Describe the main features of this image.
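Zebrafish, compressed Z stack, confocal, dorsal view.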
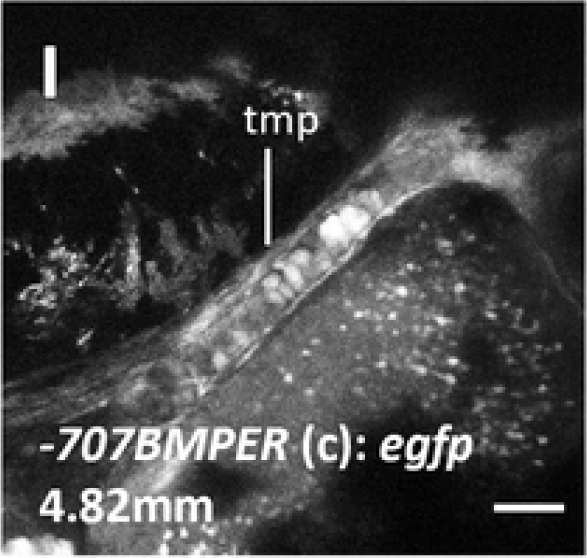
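A band of cranial cartilage runs diagonally across the field, made of large rounded chondrocytes lying in a row. The cells are bright and plump, with clear outlines between neighbours. Along the band lie thinner fluorescent lines, and scattered small bright dots fill the surrounding tissue.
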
